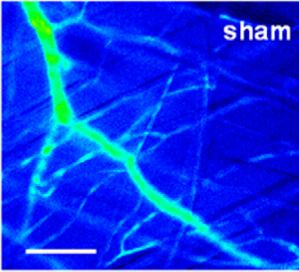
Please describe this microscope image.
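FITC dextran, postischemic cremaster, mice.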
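This is a network of branching microvessels in muscle tissue. A larger green vessel and many thin blue-green branches are sharply outlined against a dark blue background. Little signal lies outside the vessels.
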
